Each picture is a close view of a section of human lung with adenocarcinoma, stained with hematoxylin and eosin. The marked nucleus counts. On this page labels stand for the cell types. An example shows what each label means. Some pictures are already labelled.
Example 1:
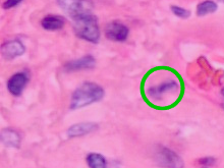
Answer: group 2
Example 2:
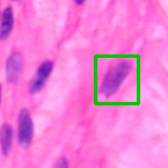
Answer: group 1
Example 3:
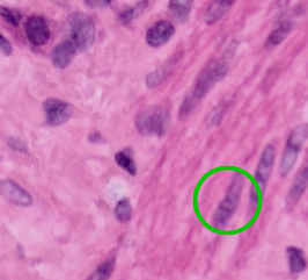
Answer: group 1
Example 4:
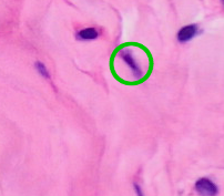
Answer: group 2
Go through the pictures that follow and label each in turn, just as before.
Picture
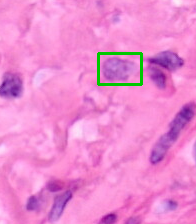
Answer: group 2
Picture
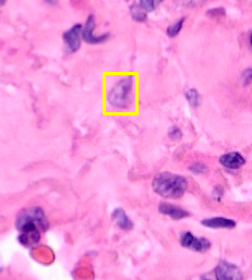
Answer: group 2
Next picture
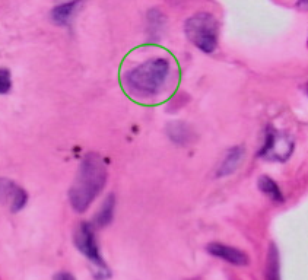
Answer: group 2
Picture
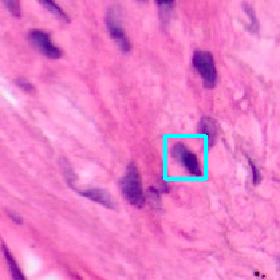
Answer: group 1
